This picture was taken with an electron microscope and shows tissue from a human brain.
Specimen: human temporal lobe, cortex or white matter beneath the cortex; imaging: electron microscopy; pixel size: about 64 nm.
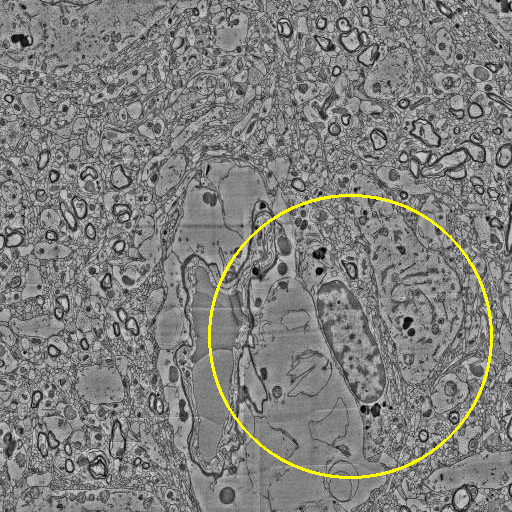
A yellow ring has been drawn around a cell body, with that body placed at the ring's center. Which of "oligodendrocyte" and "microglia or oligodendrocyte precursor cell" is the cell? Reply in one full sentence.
In this picture, a microglial cell or oligodendrocyte precursor cell is the cell at the center of the yellow ring.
